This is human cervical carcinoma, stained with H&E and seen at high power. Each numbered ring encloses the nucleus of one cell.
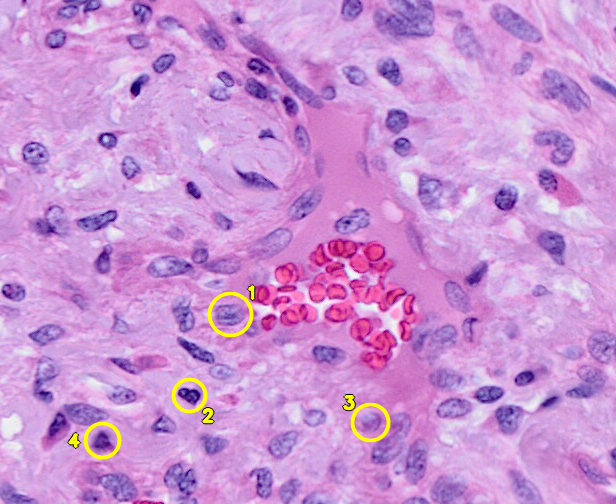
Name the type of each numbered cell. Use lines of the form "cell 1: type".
cell 1: endothelial cell
cell 2: lymphocyte
cell 3: endothelial cell
cell 4: lymphocyte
